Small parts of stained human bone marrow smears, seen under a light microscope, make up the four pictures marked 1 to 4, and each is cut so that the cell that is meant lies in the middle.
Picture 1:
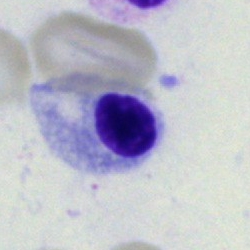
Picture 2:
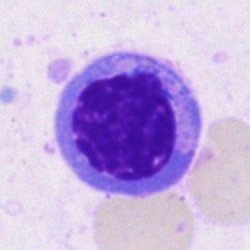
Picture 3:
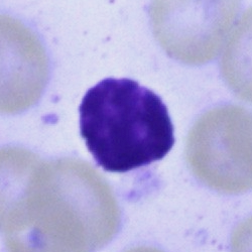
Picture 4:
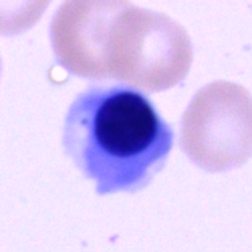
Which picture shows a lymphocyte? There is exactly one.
3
